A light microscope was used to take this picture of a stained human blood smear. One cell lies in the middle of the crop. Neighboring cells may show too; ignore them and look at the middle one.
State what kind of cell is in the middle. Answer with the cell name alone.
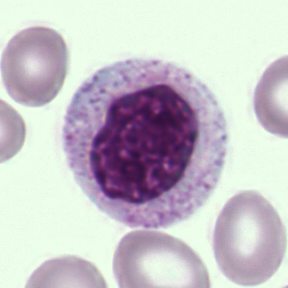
metamyelocyte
